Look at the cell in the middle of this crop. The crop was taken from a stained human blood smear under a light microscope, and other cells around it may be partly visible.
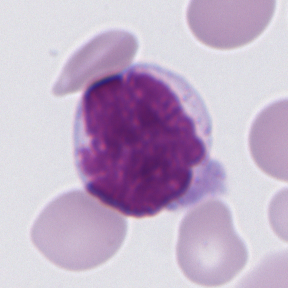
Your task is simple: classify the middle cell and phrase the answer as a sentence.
The cell at the centre of the field is a large granular lymphocyte.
